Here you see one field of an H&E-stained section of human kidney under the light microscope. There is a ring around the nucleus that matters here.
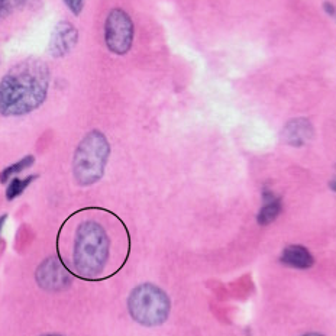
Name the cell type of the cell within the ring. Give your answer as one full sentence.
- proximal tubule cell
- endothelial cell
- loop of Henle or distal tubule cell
The cell within the ring appears to be a proximal tubule cell.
